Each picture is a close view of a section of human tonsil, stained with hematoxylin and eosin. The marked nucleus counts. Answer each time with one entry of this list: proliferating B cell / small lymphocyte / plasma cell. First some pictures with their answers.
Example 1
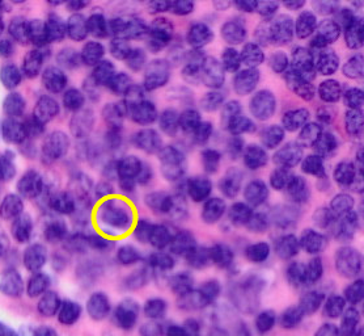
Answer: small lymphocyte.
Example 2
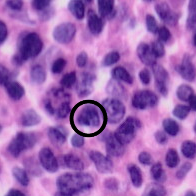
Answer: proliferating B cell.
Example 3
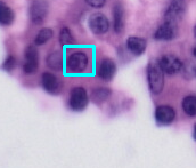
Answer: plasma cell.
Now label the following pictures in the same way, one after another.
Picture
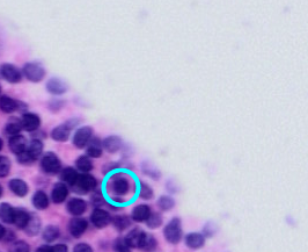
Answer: small lymphocyte.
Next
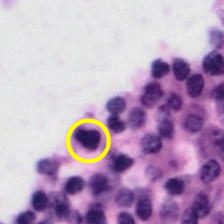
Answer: proliferating B cell.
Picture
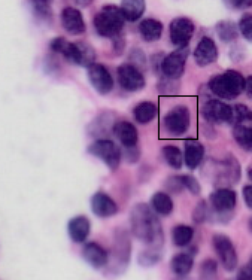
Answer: small lymphocyte.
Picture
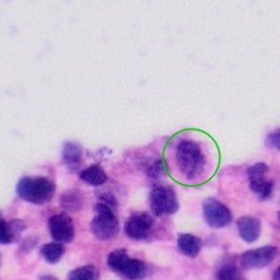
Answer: proliferating B cell.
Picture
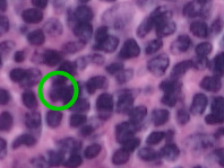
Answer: small lymphocyte.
